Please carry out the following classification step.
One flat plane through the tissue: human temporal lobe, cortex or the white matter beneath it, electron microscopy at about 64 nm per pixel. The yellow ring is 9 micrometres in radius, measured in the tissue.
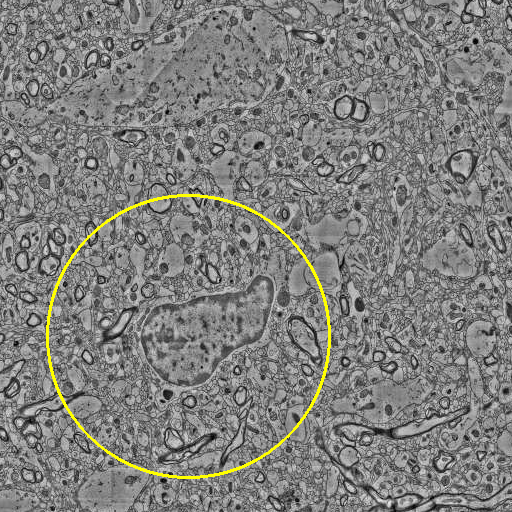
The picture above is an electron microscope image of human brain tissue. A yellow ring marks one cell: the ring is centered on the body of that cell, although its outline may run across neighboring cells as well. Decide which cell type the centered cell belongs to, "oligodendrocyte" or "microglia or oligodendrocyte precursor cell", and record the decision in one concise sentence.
The cell centered in the yellow ring is a microglial cell or oligodendrocyte precursor cell.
